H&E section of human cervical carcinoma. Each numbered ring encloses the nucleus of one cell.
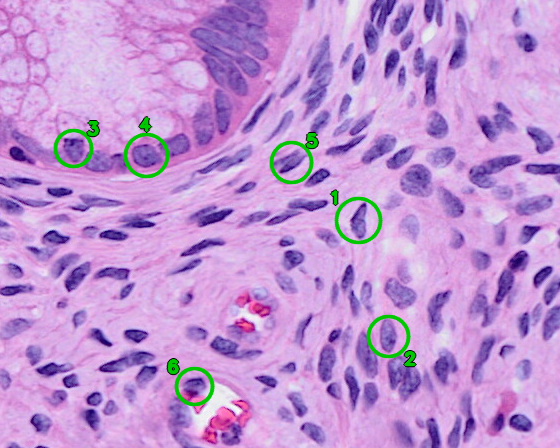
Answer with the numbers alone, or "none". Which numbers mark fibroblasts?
1, 5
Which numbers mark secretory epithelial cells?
3, 4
